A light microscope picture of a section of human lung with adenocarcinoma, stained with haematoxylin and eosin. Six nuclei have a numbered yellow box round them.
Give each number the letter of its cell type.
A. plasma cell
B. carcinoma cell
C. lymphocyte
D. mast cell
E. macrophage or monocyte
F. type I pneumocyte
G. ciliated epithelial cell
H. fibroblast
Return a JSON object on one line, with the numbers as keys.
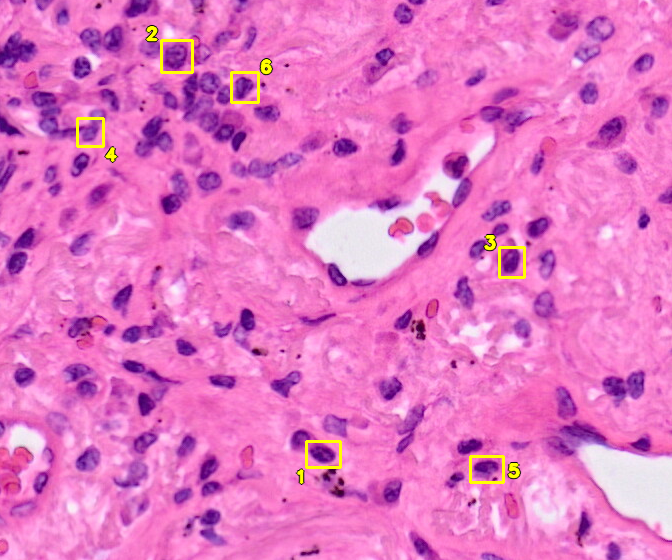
{"1": "A", "2": "A", "3": "A", "4": "C", "5": "A", "6": "C"}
